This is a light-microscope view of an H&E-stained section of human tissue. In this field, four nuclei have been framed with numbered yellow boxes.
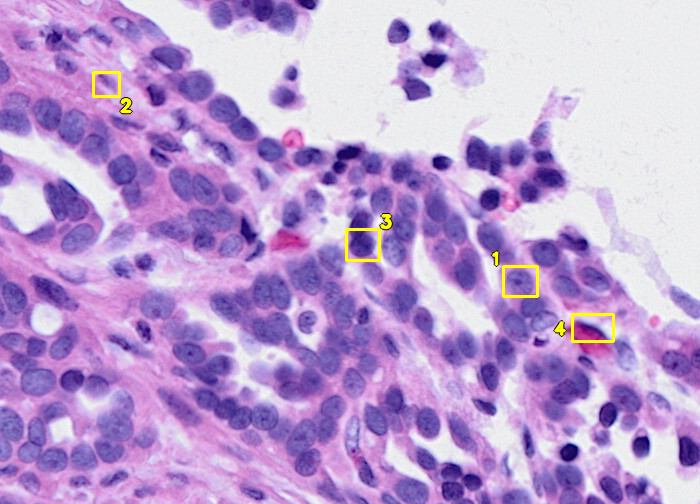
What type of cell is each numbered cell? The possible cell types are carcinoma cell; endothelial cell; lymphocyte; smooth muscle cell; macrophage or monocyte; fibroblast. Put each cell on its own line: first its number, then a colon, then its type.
1: carcinoma cell
2: fibroblast
3: carcinoma cell
4: endothelial cell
